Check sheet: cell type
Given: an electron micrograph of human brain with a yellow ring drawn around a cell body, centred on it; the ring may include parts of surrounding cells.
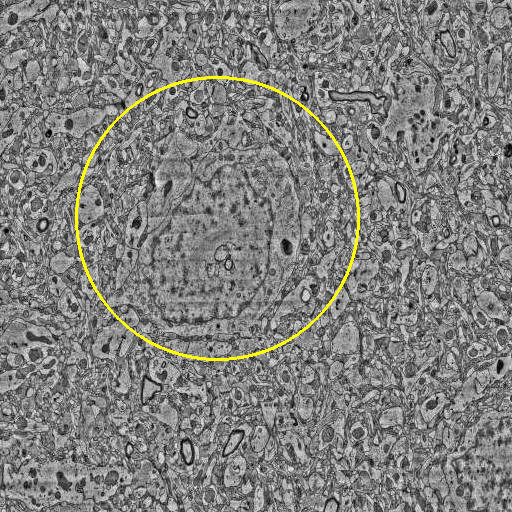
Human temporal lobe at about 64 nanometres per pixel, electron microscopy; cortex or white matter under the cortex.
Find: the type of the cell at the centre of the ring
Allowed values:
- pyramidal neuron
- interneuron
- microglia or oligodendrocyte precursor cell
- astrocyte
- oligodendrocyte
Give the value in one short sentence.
Here the ringed cell is an interneuron.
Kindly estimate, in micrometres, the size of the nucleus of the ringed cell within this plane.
Approximately 10 micrometres long and 7 micrometres wide, in this plane.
